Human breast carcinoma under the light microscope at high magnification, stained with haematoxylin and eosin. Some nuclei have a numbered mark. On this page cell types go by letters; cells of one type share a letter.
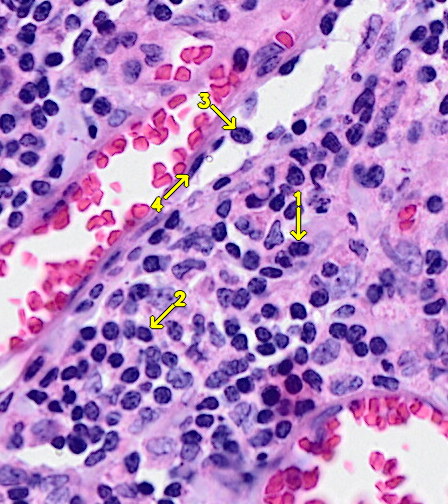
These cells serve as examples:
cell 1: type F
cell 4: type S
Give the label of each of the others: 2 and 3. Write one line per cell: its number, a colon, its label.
2: type F
3: type F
